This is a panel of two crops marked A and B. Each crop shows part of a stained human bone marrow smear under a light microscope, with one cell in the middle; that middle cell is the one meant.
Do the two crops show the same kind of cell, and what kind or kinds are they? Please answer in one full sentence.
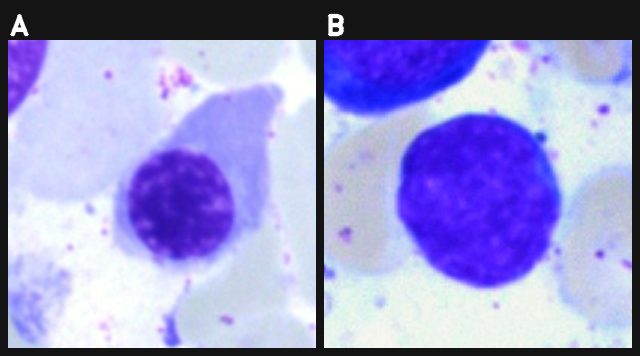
No, crop A is of an erythroblast, and crop B is of a lymphocyte.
